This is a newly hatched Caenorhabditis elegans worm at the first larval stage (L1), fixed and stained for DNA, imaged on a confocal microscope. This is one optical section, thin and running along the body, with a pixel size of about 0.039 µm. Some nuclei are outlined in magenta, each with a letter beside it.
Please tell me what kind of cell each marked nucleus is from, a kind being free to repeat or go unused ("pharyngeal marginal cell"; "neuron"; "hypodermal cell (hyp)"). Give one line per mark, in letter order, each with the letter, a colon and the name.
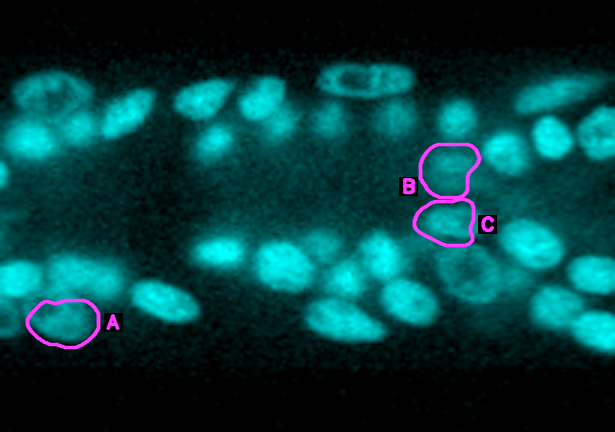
A: hypodermal cell (hyp)
B: pharyngeal marginal cell
C: pharyngeal marginal cell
